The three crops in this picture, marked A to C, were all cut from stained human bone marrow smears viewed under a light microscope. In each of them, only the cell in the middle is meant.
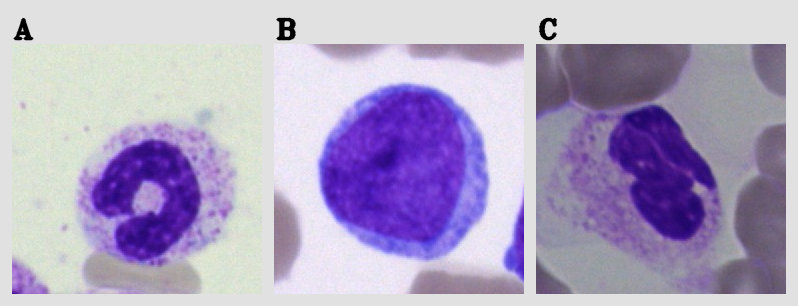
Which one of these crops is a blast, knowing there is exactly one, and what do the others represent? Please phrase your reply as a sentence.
It is crop B that shows a blast, while crop A is a band neutrophil and crop C is a segmented neutrophil.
